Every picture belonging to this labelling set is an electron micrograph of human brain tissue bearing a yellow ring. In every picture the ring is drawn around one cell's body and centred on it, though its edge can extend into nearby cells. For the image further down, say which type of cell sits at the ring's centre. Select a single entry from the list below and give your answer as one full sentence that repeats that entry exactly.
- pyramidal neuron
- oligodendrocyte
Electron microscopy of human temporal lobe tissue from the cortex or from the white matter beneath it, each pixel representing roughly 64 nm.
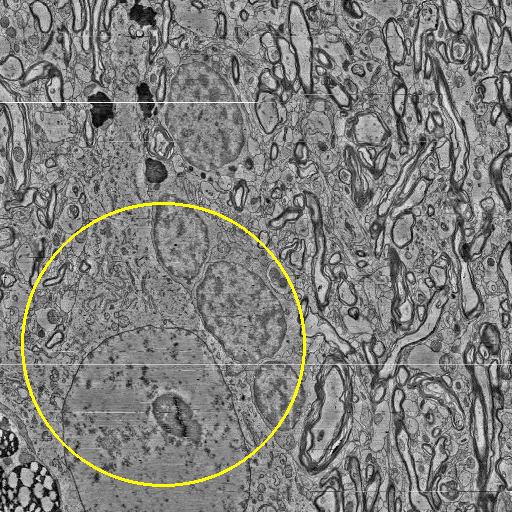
In the picture, a pyramidal neuron is the cell at the centre of the yellow ring.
